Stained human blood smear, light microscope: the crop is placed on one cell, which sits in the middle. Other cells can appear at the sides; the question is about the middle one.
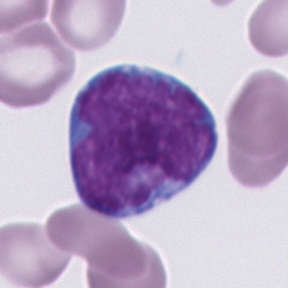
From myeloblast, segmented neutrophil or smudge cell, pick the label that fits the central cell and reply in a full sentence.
The cell around which this crop is centred is a myeloblast.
